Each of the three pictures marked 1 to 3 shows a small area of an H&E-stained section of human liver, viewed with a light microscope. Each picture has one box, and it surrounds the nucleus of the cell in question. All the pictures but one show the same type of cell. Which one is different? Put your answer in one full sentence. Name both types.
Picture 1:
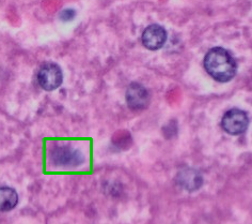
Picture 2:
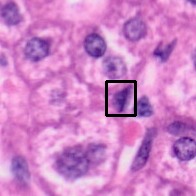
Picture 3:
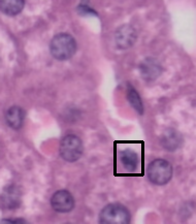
The others show “fibroblasts or stellate cells”, but picture 1 shows an endothelial cell.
